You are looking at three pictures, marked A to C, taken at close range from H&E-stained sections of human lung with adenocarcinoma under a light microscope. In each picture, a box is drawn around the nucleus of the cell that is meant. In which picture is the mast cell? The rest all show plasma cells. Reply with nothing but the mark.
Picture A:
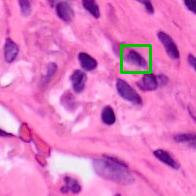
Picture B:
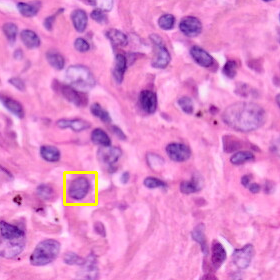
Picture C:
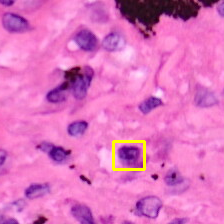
B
